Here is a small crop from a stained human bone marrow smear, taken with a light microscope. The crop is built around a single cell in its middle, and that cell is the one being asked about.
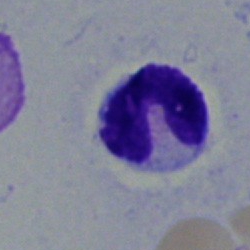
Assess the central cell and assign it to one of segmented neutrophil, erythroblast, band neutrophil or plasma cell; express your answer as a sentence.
The centrally positioned cell in the crop represents a band neutrophil.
